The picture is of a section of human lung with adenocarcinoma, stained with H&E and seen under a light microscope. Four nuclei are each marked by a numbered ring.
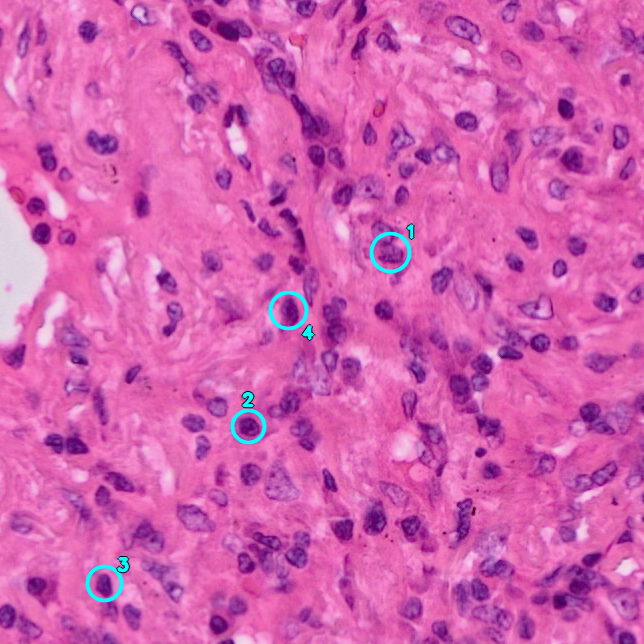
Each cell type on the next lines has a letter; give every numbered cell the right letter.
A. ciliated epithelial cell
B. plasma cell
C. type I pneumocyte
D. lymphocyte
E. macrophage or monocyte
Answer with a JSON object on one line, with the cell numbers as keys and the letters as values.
{"1": "B", "2": "B", "3": "D", "4": "B"}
